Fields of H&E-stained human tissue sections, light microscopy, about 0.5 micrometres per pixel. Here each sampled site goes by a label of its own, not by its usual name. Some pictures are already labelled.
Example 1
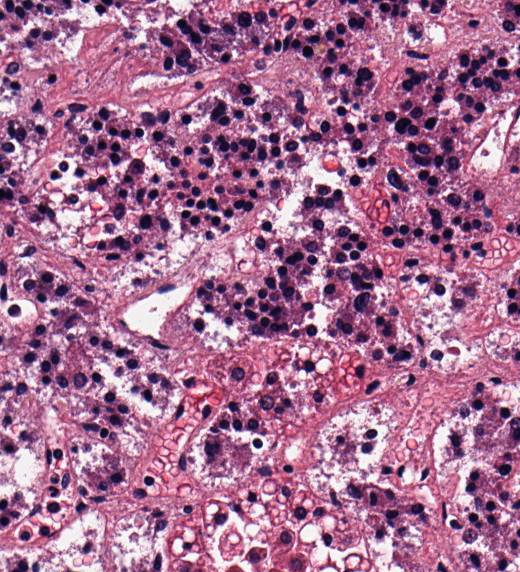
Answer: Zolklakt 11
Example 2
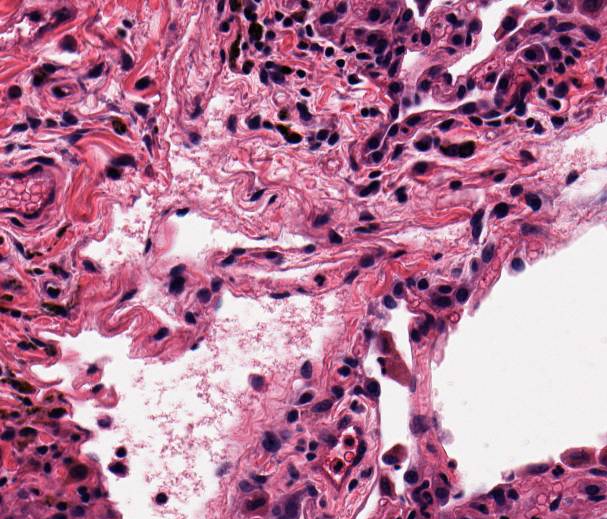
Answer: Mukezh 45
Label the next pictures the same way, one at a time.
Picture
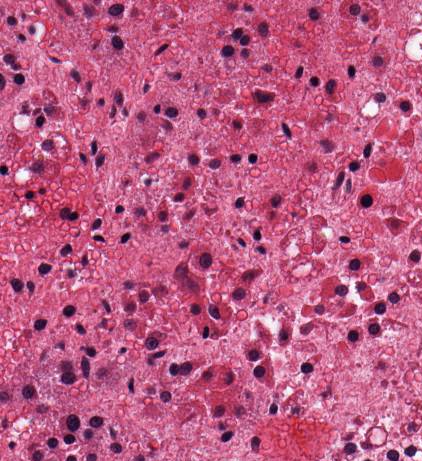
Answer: Zolklakt 11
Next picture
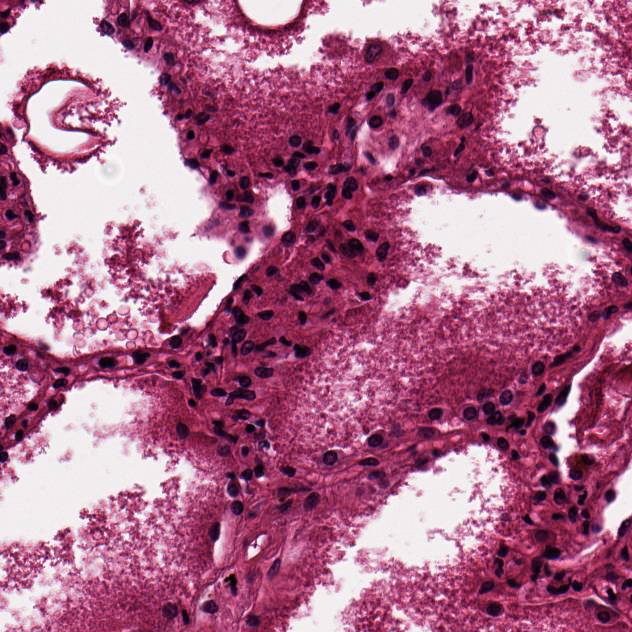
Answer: Mukezh 45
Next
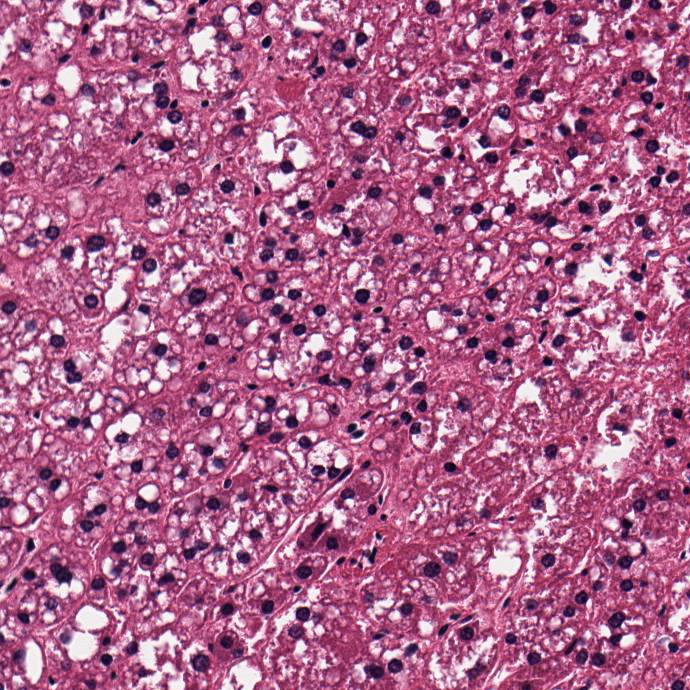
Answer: Zolklakt 11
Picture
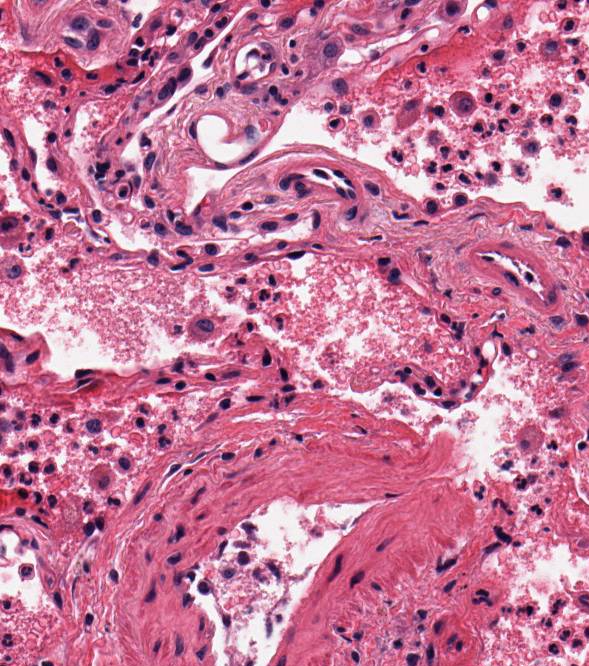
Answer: Mukezh 45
